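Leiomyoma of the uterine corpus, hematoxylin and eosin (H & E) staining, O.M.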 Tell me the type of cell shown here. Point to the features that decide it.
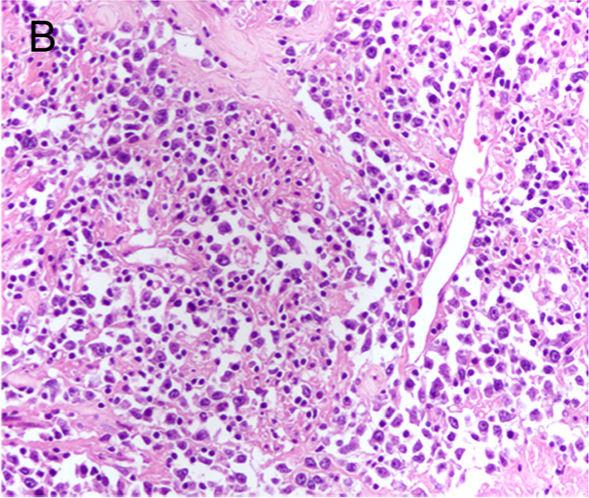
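Discohesive, individually lying round cells. Medium to large cells with round to oval nuclei. Rims of pale purplish cytoplasm around the nuclei. So: Lymphoid cells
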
